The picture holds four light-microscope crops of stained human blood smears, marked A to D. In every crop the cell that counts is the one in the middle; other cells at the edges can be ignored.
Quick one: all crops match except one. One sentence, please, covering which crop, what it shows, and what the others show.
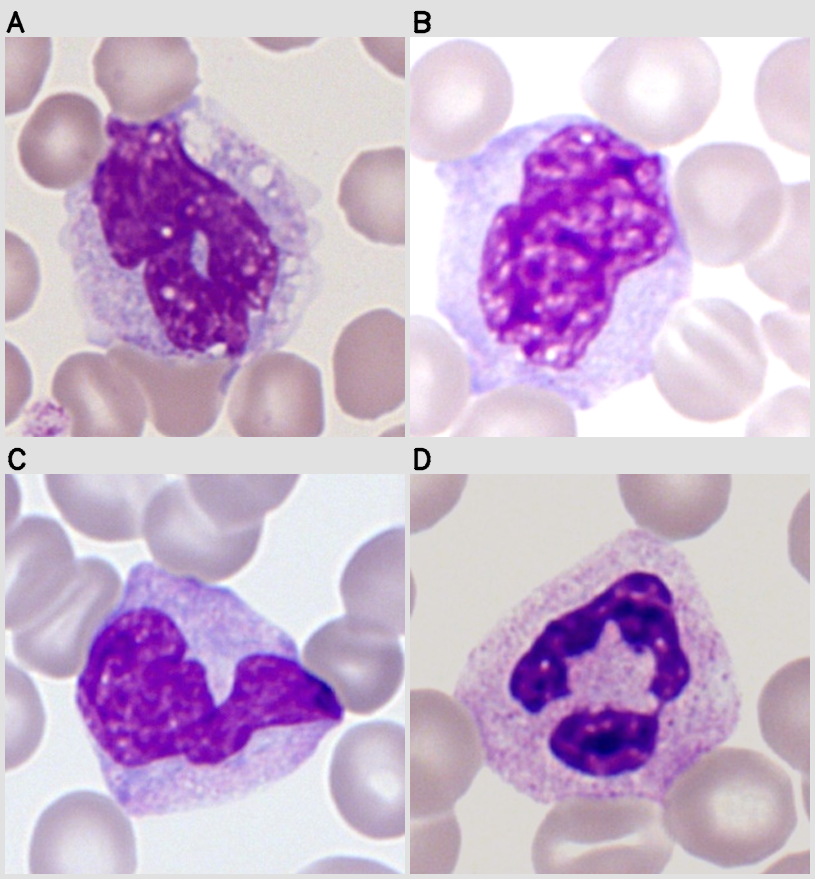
While crop D shows a segmented neutrophil, the other crops all show monocytes.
